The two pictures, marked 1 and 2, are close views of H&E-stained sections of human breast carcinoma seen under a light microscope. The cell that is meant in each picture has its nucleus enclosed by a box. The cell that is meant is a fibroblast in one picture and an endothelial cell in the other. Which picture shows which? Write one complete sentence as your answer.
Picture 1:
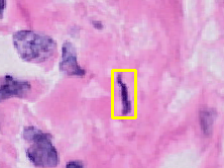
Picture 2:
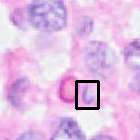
It is picture 1 that shows a fibroblast, and picture 2 that shows an endothelial cell.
